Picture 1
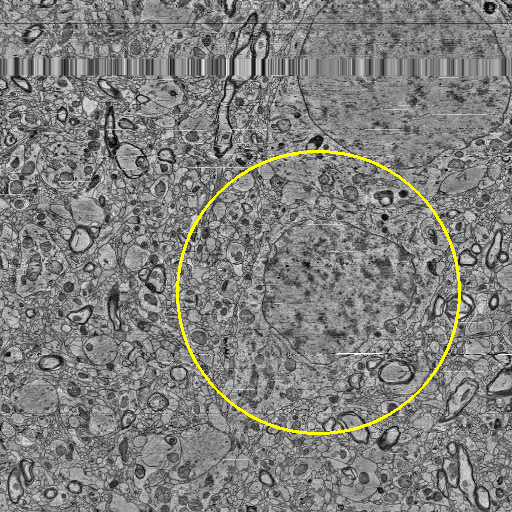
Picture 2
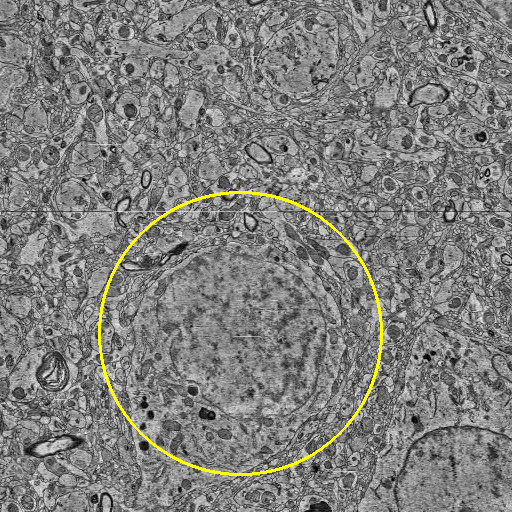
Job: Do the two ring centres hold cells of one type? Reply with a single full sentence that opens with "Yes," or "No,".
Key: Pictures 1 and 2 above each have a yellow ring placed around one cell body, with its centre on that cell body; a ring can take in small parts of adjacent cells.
Yes, the cells at the two ring centres are of one single type.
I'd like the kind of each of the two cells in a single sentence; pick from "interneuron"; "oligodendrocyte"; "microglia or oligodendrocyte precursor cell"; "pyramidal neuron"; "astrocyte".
Both rings mark an interneuron, one in each picture.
